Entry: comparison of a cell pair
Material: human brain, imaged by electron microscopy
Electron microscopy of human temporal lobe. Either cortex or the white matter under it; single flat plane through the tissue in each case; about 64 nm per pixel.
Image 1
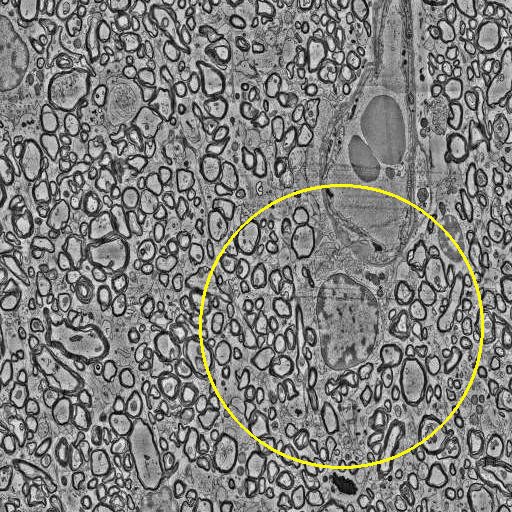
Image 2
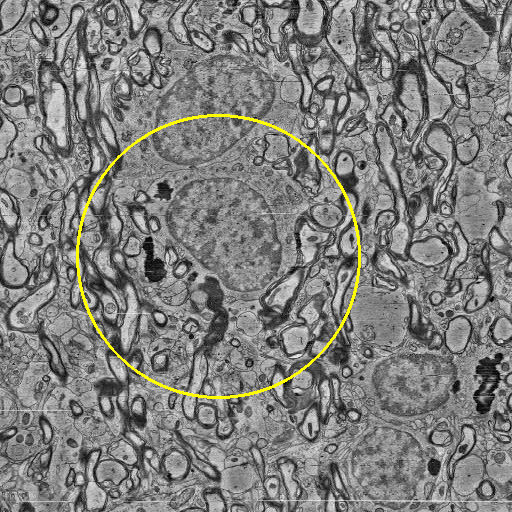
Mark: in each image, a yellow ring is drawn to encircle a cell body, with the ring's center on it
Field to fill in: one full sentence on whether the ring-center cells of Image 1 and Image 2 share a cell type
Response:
No, Image 1 and Image 2 show ring-center cells of two separate types.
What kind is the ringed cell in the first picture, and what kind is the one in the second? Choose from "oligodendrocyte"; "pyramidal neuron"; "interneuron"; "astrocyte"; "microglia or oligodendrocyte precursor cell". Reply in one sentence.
The first cell is a microglial cell or oligodendrocyte precursor cell; the second is an oligodendrocyte.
